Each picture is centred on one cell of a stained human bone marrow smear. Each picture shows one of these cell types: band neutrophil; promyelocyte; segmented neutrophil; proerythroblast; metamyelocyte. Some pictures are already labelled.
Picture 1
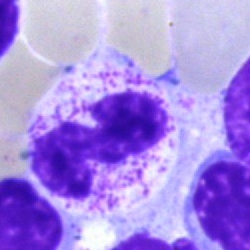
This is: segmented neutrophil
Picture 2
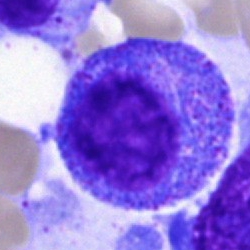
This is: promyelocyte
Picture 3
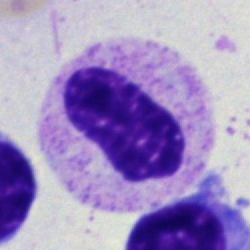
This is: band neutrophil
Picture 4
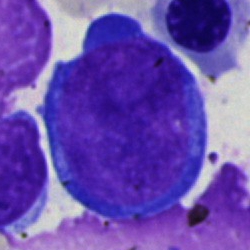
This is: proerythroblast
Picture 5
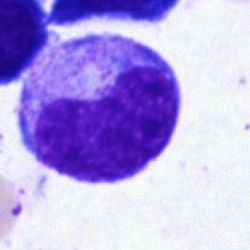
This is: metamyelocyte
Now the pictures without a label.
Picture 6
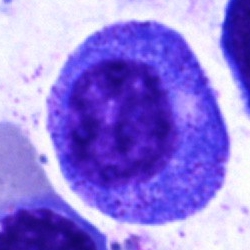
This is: promyelocyte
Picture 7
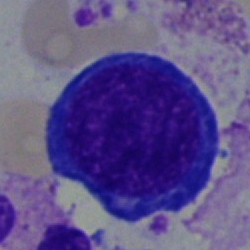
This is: proerythroblast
